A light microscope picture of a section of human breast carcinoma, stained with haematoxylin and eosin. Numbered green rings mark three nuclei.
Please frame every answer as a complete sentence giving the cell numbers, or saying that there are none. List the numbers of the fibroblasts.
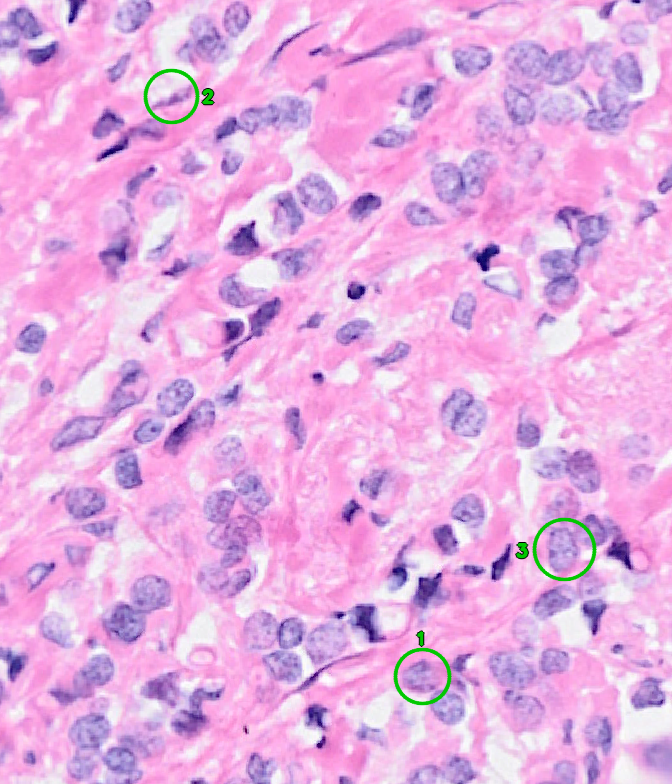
Just one of the numbered cells is a fibroblast, namely number 2.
